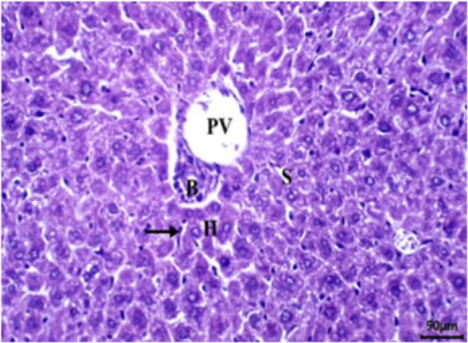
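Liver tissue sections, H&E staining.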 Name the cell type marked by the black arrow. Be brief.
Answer: Kupffer cells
